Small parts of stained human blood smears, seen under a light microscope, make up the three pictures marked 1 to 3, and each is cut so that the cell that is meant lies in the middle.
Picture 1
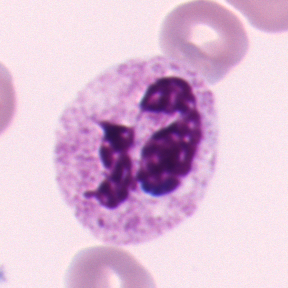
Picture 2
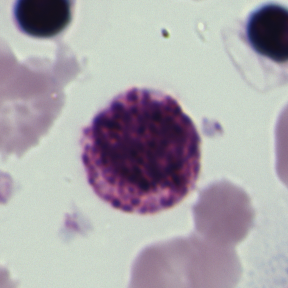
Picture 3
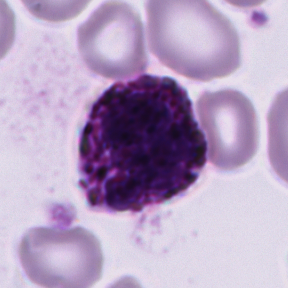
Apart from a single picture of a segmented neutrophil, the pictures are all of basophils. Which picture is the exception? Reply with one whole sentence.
It is picture 1 that shows the segmented neutrophil.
